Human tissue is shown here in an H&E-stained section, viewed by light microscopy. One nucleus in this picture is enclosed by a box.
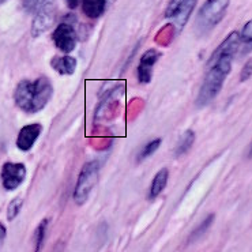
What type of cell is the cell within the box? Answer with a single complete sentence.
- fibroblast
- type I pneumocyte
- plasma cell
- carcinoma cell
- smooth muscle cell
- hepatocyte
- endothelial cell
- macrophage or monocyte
In cell-type terms, the cell within the box is an endothelial cell.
